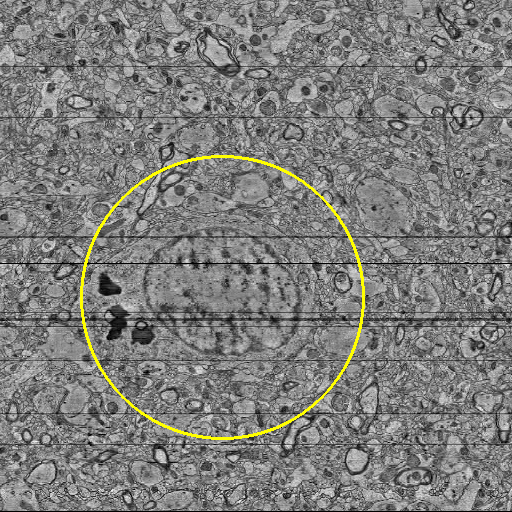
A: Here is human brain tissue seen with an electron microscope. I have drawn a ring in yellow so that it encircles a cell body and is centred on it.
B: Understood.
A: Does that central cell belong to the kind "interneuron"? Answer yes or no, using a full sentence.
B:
Yes, the central cell inside your yellow ring belongs to that kind.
